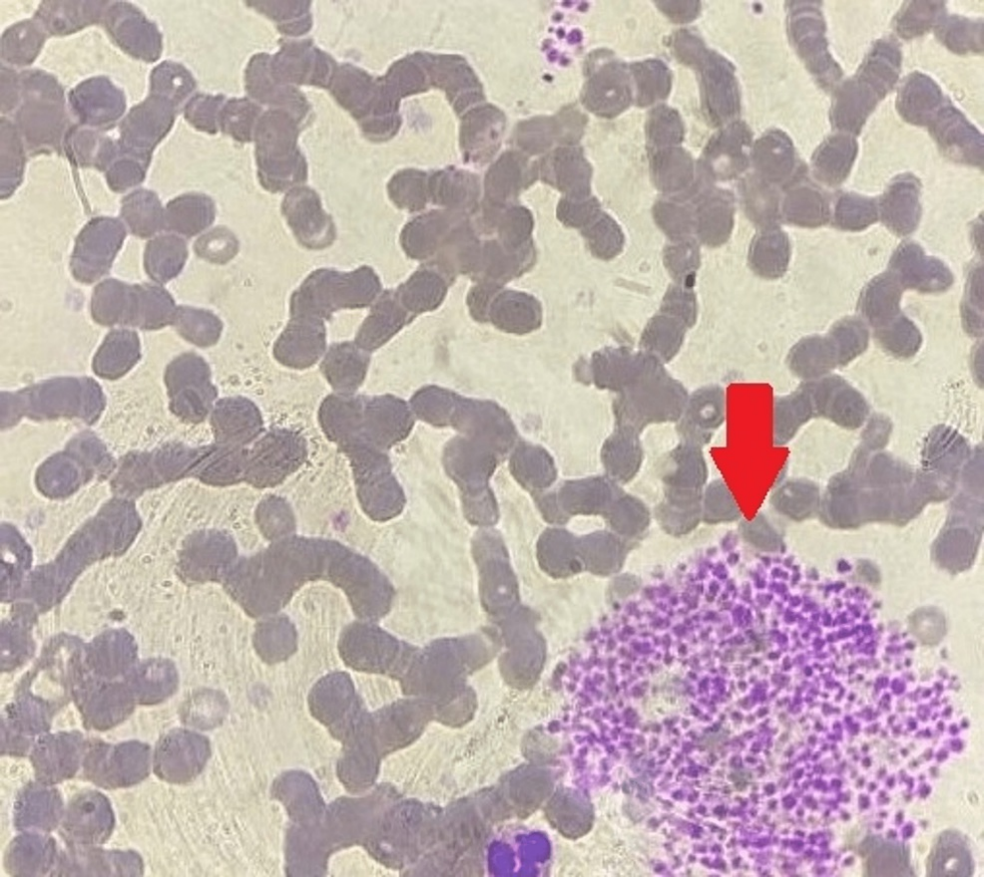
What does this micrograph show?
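This is a peripheral blood smear in which a large clump of platelets sits in the lower right, surrounded by red blood cells. The platelets are tiny purple granular fragments without nuclei, and here hundreds of them are packed together into one dense, roughly round mass instead of lying scattered one by one. A much smaller cluster of the same purple fragments can be seen near the top edge of the field. At the bottom edge a white cell with a dark purple, lobed nucleus is visible, giving a sense of scale against the platelets.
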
